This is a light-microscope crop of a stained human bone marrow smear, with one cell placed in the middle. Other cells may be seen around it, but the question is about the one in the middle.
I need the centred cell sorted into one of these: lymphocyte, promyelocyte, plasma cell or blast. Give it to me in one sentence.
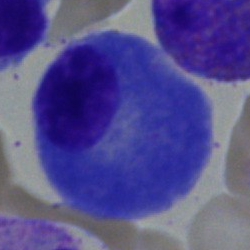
Looking at the middle of the crop, the cell there is a plasma cell.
